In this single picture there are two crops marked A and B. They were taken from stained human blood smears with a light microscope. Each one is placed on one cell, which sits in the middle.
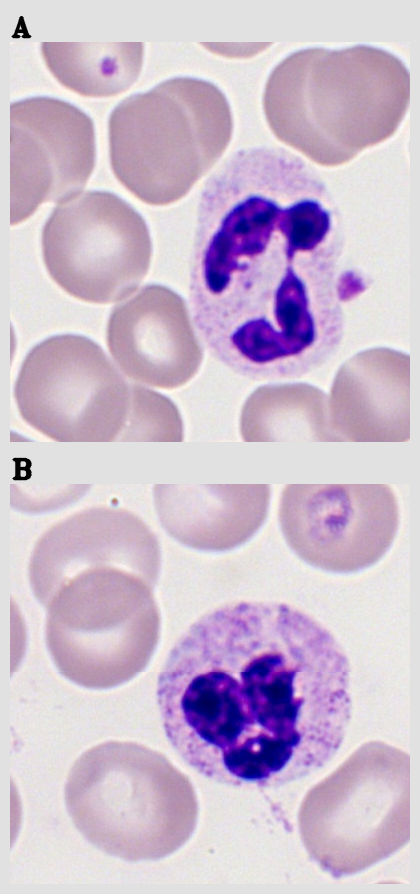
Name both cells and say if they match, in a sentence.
Yes, both crops show segmented neutrophils as the central cells.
